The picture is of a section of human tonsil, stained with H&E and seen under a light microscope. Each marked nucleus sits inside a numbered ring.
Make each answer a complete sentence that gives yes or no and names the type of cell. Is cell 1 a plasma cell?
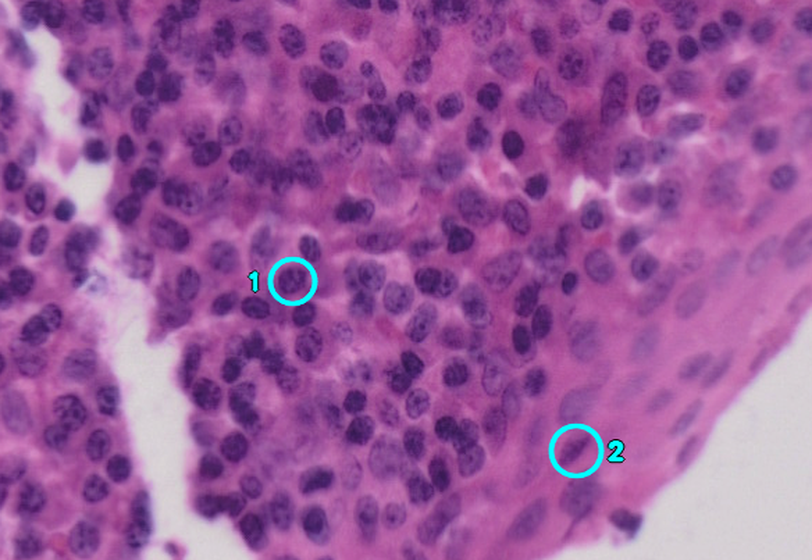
Yes, the numbered cell 1 is a plasma cell.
